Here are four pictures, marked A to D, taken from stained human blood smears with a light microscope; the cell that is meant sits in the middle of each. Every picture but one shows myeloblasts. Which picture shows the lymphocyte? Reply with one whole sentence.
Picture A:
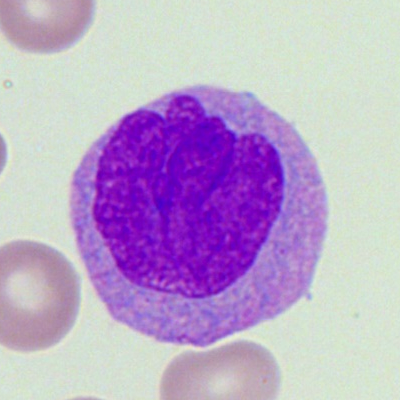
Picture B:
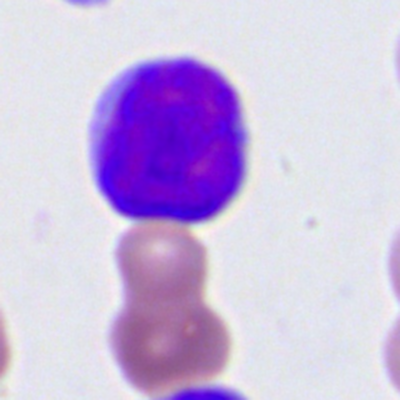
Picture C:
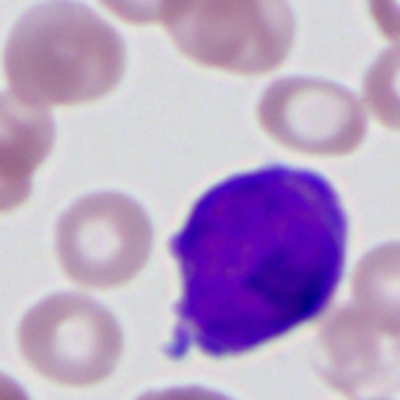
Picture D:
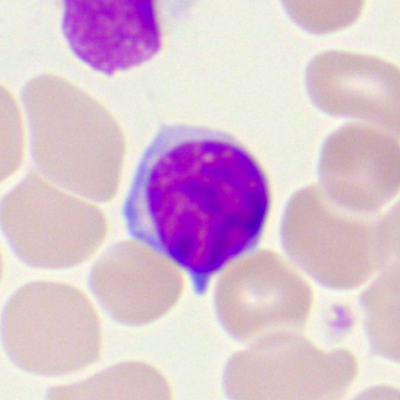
Picture D shows the lymphocyte.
